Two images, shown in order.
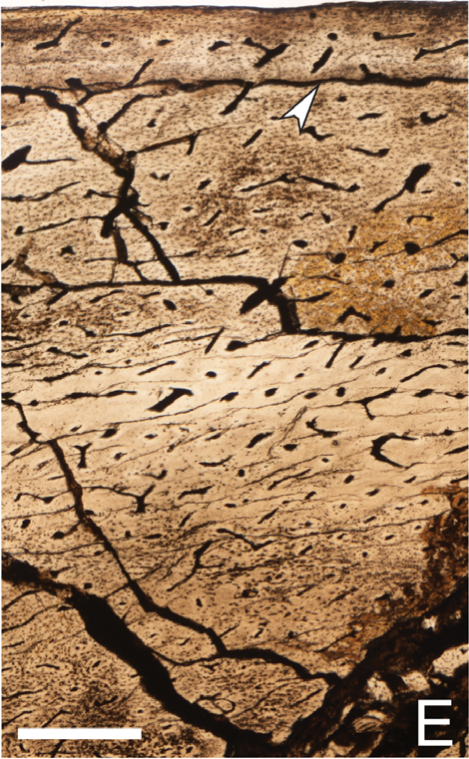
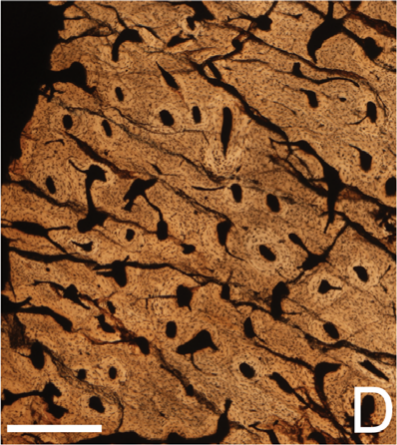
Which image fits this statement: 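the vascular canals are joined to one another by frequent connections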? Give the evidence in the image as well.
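First image: canals are mostly separate elongated slits running in one direction. Second image: canals are irregular and many branch and connect with neighbours.
Conclusion: the second image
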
